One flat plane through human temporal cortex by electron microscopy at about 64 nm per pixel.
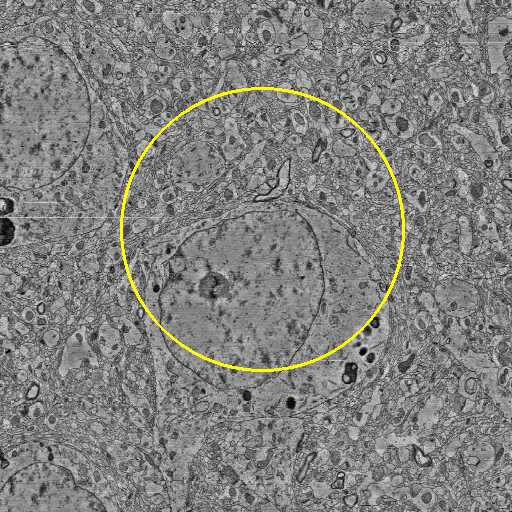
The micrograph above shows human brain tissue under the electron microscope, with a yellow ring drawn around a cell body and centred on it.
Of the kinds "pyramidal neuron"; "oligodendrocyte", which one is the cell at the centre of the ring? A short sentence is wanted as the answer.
The one at the centre of the ring is a pyramidal neuron.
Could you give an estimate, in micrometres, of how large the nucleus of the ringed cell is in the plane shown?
Approximately 13 by 11 micrometers in this plane.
